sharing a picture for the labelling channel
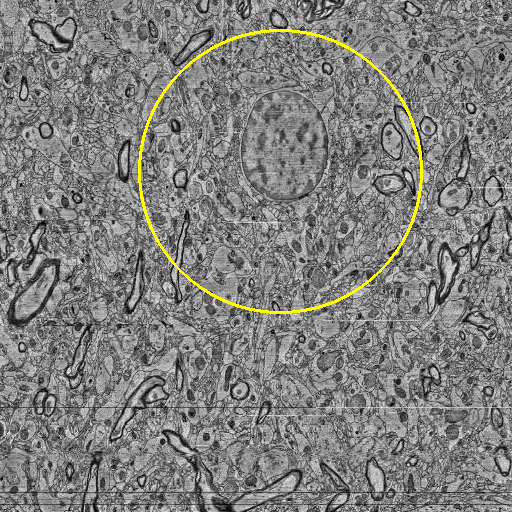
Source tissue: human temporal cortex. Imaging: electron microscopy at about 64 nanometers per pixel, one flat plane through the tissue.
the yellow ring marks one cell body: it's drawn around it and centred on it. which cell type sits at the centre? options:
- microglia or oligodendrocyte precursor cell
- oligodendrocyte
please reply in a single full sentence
In the picture, the cell at the ring's centre is a microglial cell or oligodendrocyte precursor cell, going by the list.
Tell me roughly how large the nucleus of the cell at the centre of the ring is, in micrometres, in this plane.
About 8 micrometres by about 5 micrometres in this plane.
